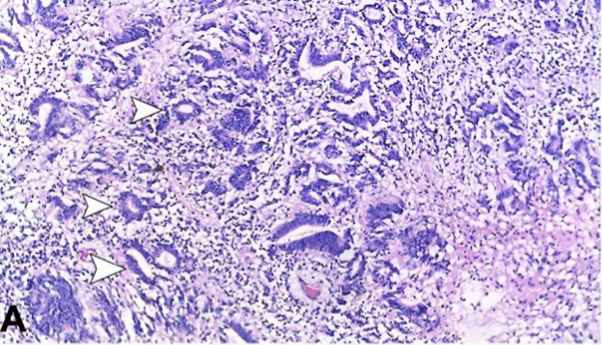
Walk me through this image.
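This is a tumor of primitive cells with dark-staining nuclei, part of which is arranged into rosettes. Scattered through the field are small round and elongated tubular structures, each with a narrow central lumen lined by several layers of crowded cells with elongated, purple nuclei. Between these lies a looser, paler pink background holding many small, dark, round nuclei scattered without order. Toward the right edge the tissue becomes paler and more pink with fewer nuclei. A few small blood vessels with red cells are present among the rosettes.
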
